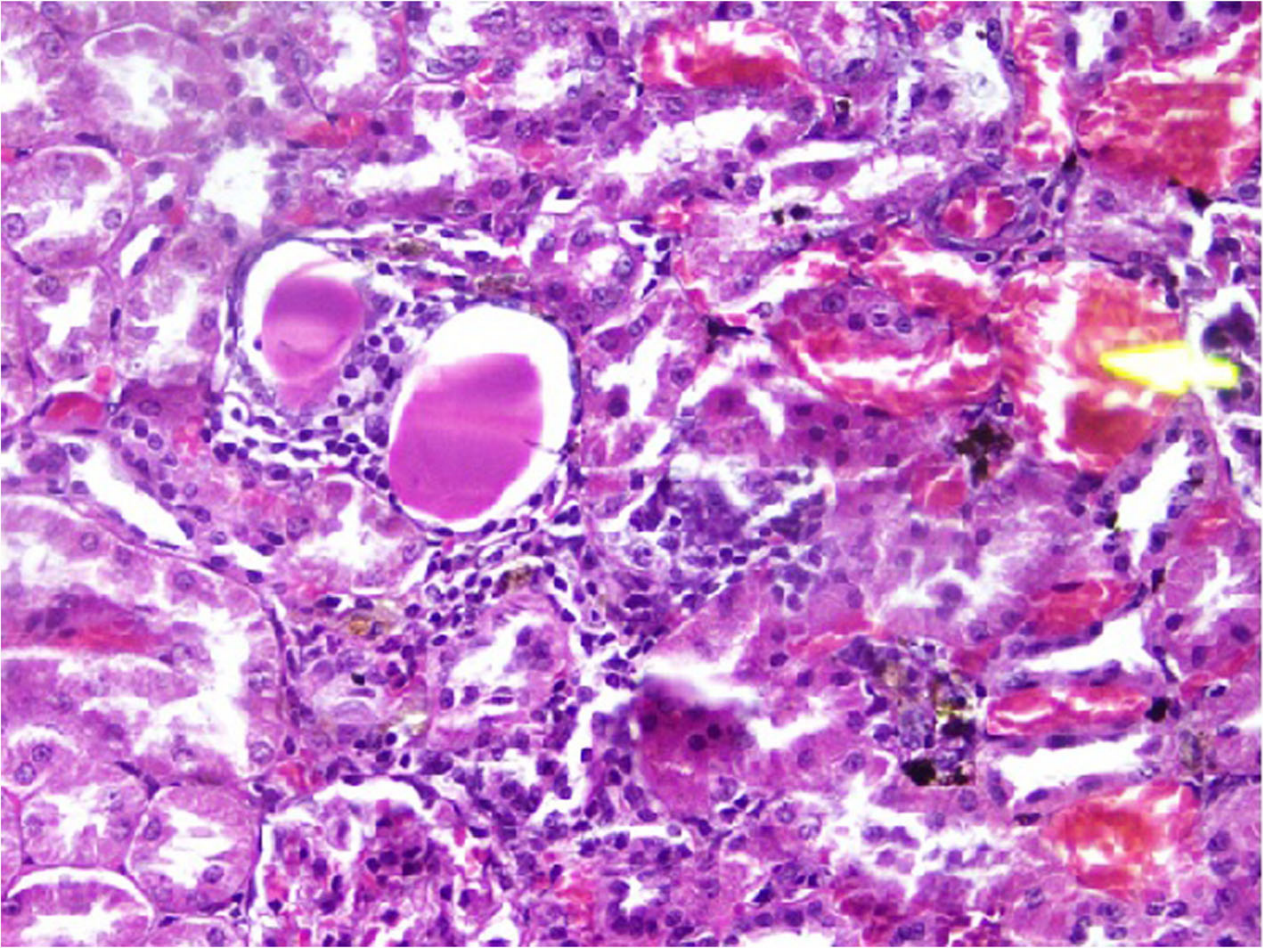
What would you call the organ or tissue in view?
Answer: Kidney tubules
